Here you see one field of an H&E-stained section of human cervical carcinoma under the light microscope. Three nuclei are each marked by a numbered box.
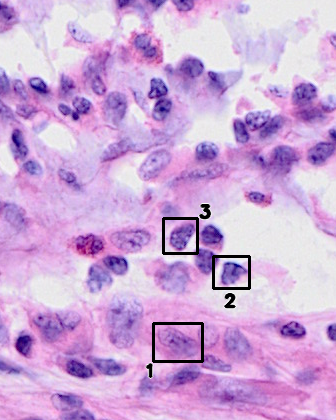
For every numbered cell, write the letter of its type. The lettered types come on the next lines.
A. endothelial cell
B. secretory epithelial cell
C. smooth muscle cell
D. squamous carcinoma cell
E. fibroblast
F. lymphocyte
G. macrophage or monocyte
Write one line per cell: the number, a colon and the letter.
1: A
2: F
3: F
